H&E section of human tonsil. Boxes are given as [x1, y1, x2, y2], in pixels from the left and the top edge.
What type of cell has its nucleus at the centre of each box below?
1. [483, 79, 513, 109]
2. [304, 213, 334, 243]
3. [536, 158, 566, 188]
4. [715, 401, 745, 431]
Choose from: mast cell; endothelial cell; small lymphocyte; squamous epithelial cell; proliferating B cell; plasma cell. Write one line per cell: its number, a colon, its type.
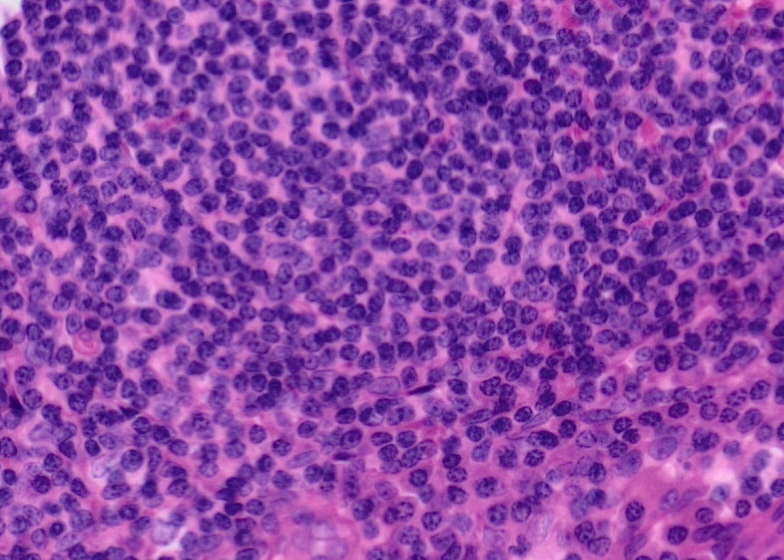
1: small lymphocyte
2: small lymphocyte
3: small lymphocyte
4: plasma cell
